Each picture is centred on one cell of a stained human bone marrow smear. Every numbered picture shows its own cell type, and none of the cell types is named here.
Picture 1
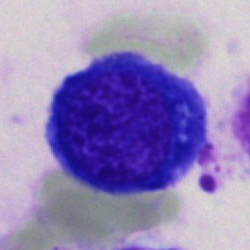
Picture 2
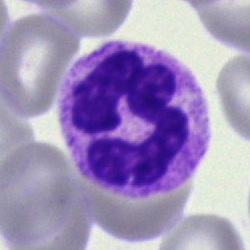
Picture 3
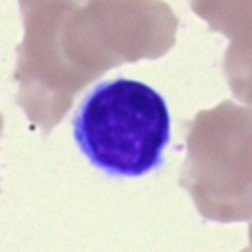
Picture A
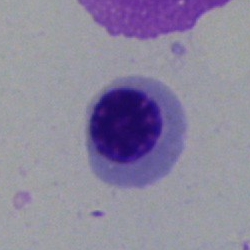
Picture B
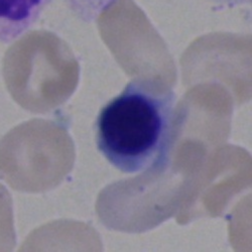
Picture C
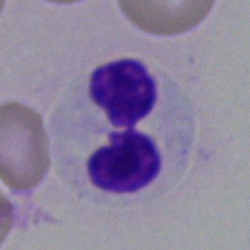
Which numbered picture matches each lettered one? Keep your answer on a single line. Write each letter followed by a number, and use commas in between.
A 1, B 1, C 2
